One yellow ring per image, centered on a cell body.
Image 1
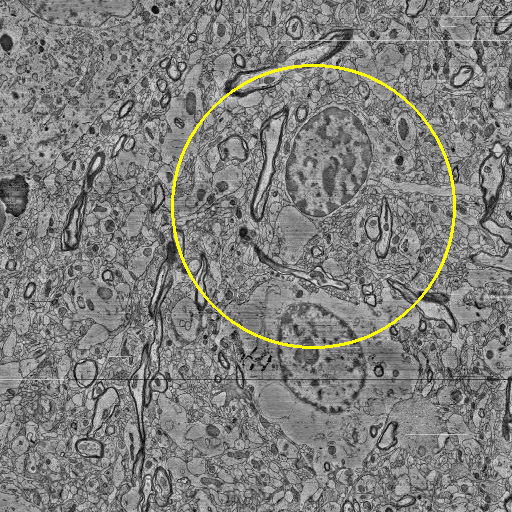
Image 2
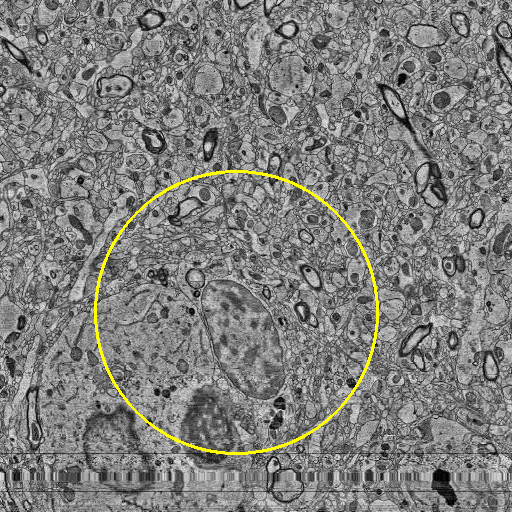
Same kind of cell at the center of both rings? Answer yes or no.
yes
